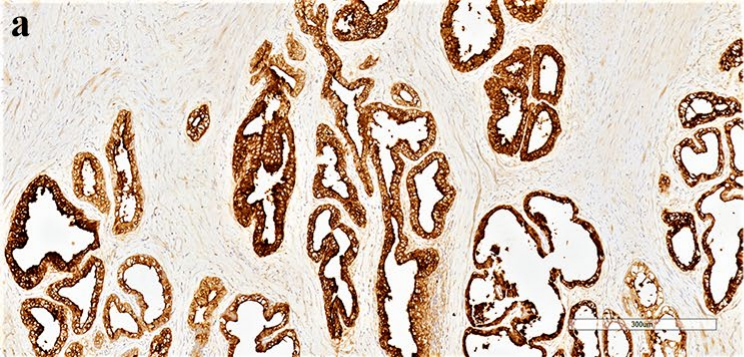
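Glandular epithelium lines numerous glands of varying size set in a pale, fibrous stroma. The glands have wide, irregular lumens with papillary infoldings and branching outlines, and some are small and round. Some lumens contain brown-stained material. The surrounding stroma consists of pale, wavy fibres with few visible cells and shows only faint background staining, so the glands stand out sharply against it.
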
